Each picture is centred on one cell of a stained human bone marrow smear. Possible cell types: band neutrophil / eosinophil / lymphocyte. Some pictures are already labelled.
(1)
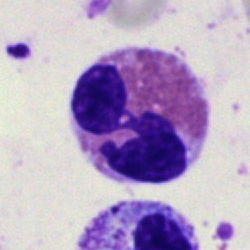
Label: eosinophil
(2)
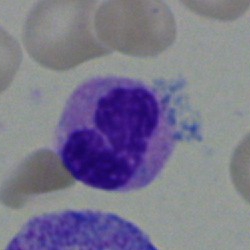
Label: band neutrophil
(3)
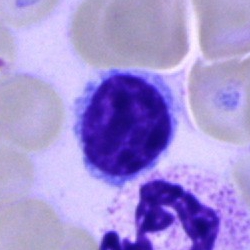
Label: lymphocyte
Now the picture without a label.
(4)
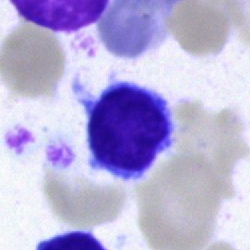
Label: lymphocyte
